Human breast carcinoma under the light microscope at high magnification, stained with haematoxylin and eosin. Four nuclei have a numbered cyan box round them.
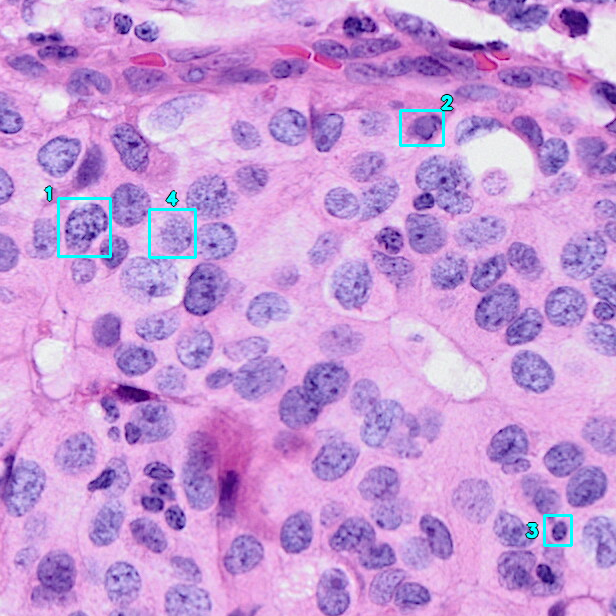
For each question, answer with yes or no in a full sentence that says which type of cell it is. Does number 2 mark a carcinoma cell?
Yes, number 2 corresponds to a carcinoma cell.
